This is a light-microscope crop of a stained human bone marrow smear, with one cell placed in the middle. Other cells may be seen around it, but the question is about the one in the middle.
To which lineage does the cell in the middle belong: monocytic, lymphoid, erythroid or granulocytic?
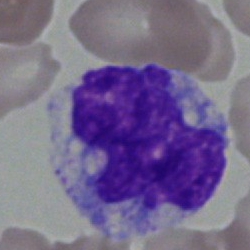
monocytic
